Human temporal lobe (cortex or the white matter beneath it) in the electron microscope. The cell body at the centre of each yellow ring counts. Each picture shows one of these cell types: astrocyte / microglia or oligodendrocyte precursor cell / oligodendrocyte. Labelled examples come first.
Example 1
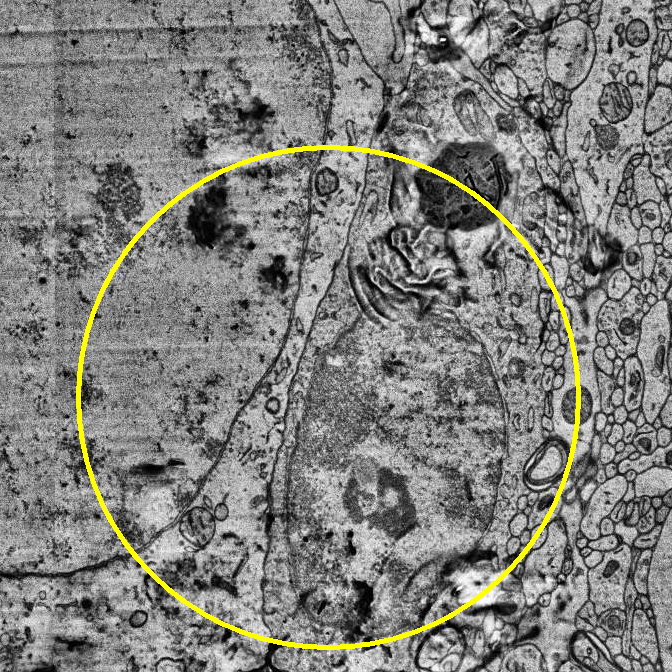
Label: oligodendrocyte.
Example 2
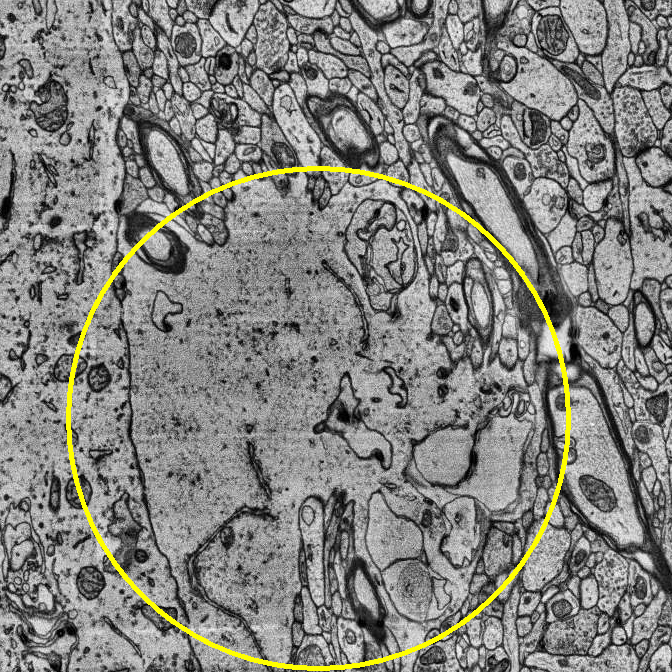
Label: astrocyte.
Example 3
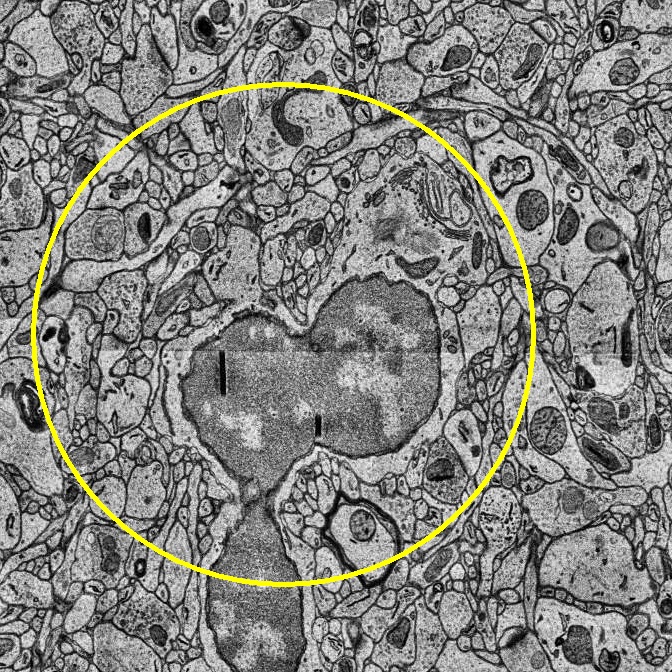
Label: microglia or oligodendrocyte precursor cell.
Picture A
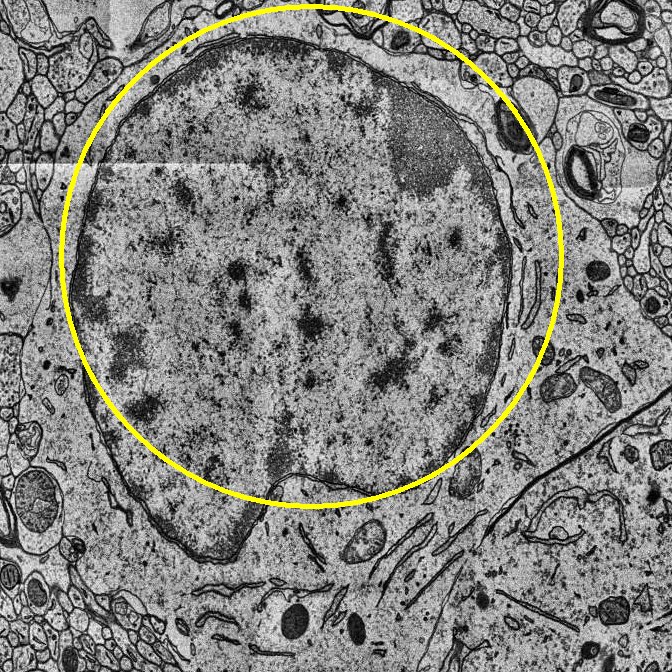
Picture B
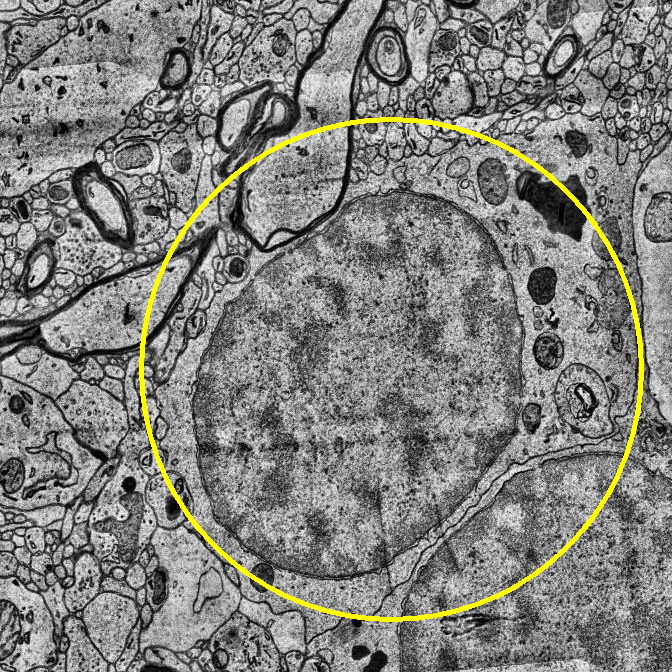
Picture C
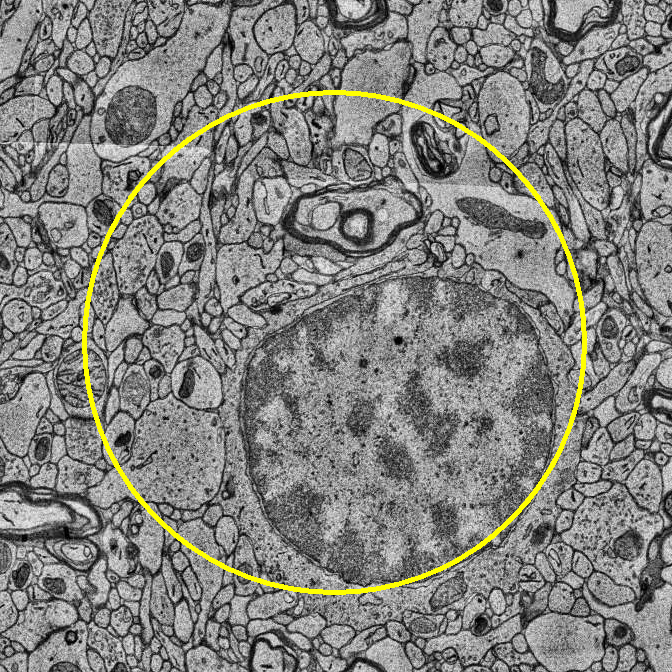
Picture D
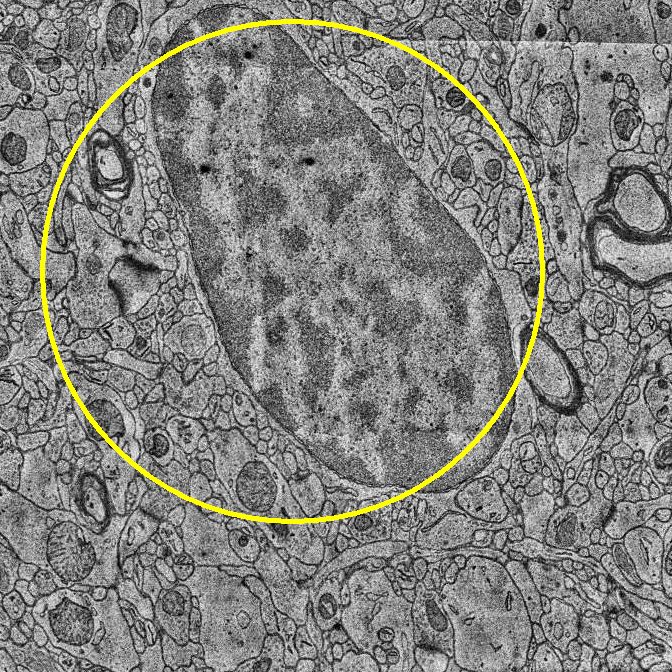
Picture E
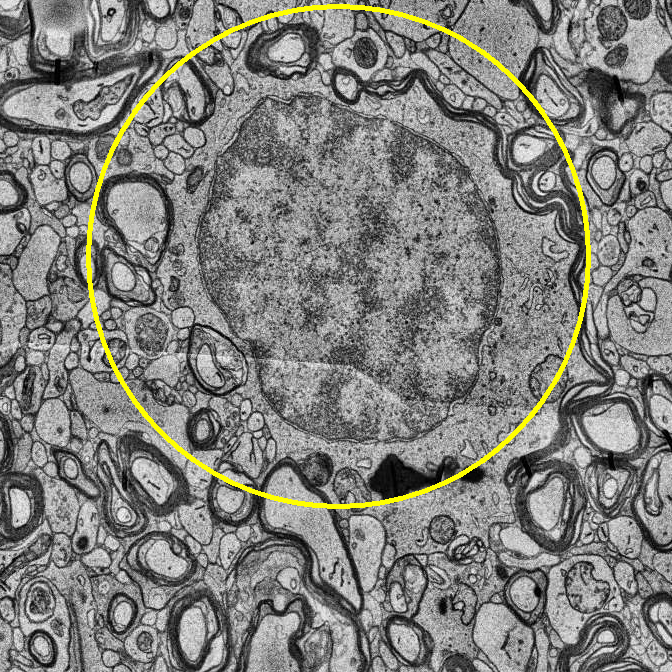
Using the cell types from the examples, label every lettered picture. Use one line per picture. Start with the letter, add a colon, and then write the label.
A: microglia or oligodendrocyte precursor cell.
B: oligodendrocyte.
C: oligodendrocyte.
D: microglia or oligodendrocyte precursor cell.
E: oligodendrocyte.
